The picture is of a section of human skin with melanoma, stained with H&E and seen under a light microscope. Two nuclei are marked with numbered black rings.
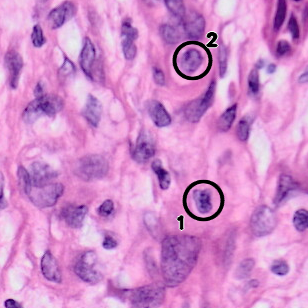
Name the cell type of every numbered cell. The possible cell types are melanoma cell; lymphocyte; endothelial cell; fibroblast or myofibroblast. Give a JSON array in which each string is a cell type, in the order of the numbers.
["lymphocyte", "endothelial cell"]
